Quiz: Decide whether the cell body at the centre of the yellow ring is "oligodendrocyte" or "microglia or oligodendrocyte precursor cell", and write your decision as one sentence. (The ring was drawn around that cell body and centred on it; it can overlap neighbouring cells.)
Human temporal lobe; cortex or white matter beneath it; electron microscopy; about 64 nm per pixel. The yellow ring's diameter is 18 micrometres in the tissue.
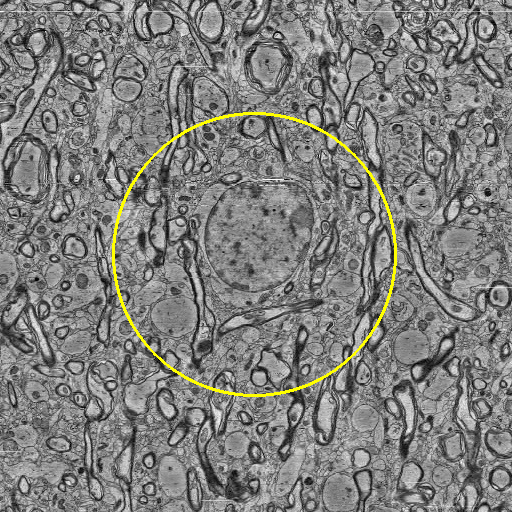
The cell the ring is centred on is a microglial cell or oligodendrocyte precursor cell.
